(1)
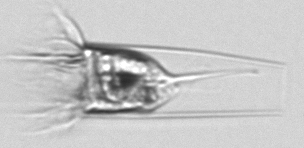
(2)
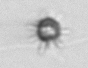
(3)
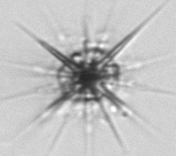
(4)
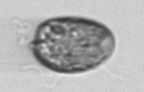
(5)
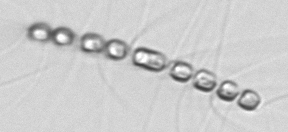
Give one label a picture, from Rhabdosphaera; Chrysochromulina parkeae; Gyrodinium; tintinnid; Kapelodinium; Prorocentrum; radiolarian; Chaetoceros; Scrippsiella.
(1) tintinnid
(2) Rhabdosphaera
(3) radiolarian
(4) Prorocentrum
(5) Chaetoceros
